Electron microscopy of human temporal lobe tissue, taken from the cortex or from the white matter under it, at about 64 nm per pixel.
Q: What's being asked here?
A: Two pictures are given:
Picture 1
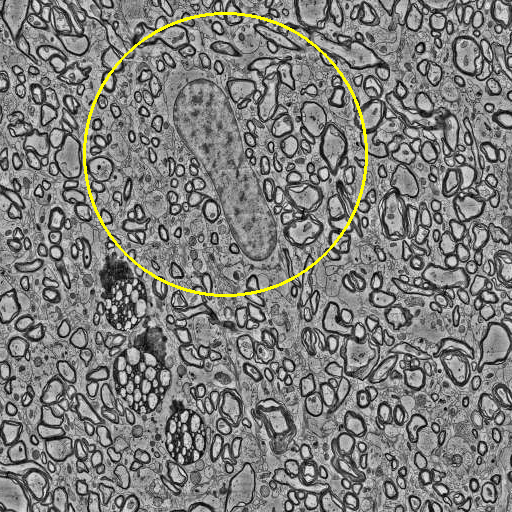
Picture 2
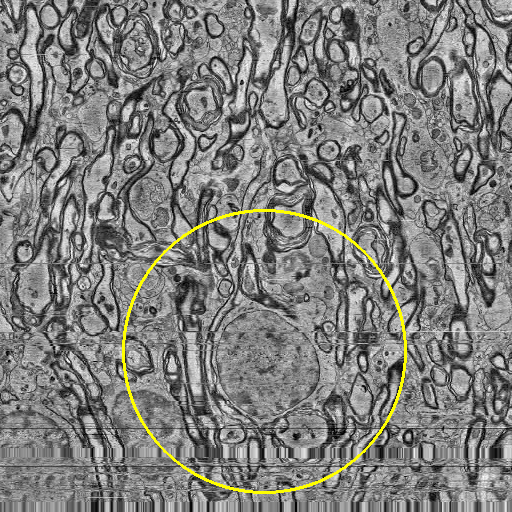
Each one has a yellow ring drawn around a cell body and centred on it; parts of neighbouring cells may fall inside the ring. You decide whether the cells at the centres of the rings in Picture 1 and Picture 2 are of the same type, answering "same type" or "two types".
same type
